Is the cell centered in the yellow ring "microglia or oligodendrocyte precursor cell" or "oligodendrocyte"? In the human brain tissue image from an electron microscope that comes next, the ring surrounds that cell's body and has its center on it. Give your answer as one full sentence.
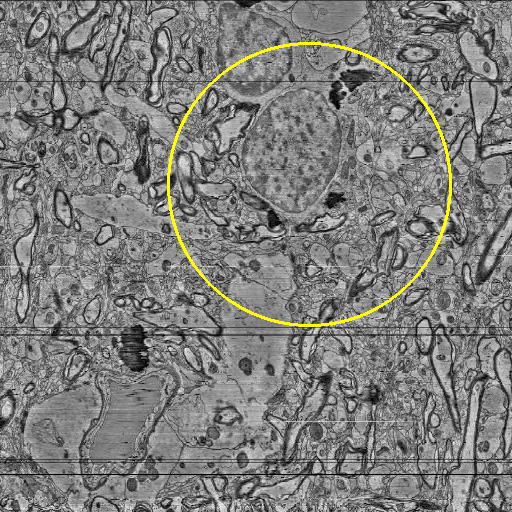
The cell at the center of the yellow ring is an oligodendrocyte in the micrograph.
